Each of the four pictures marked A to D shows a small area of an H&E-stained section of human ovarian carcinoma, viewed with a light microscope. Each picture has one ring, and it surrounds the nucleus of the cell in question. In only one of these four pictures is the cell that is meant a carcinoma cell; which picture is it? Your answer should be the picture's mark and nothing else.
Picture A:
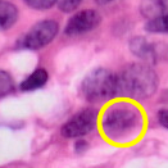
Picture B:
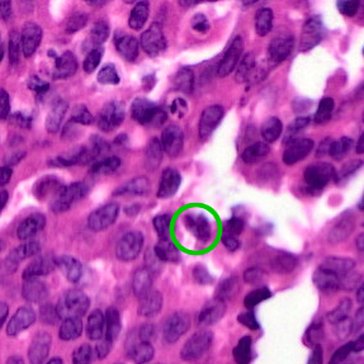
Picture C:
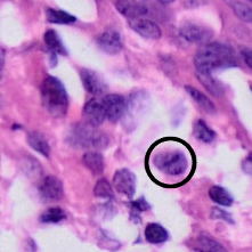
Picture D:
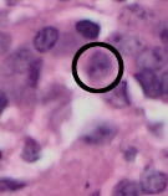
A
